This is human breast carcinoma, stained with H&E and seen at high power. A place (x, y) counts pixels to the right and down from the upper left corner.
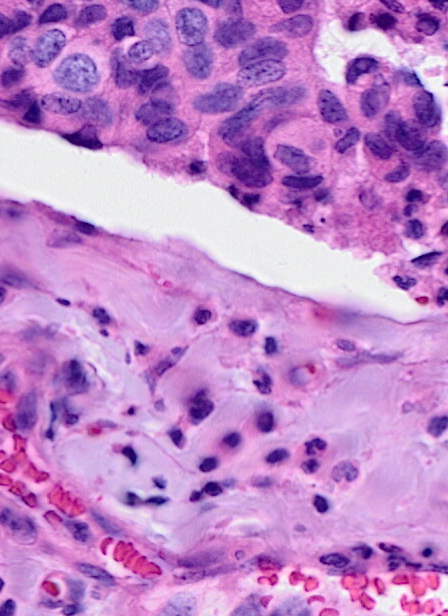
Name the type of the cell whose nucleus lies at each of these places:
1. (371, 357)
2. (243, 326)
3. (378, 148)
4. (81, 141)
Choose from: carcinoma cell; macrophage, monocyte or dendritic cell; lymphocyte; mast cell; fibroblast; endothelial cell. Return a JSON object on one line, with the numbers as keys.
{"1": "fibroblast", "2": "mast cell", "3": "carcinoma cell", "4": "carcinoma cell"}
